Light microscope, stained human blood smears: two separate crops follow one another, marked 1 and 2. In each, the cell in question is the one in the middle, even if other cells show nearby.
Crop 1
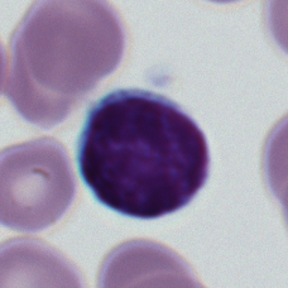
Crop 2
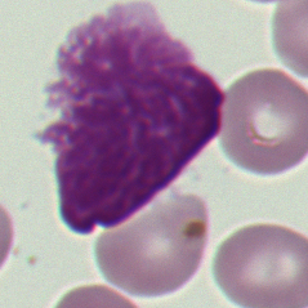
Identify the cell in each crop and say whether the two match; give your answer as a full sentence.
No, as for crop 1, it shows a typical lymphocyte, and crop 2 shows a smudge cell.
